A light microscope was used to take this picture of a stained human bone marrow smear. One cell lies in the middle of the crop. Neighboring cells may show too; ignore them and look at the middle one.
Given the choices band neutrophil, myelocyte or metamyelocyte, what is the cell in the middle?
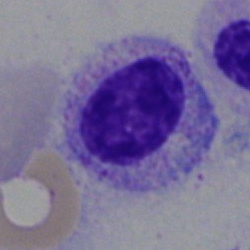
myelocyte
